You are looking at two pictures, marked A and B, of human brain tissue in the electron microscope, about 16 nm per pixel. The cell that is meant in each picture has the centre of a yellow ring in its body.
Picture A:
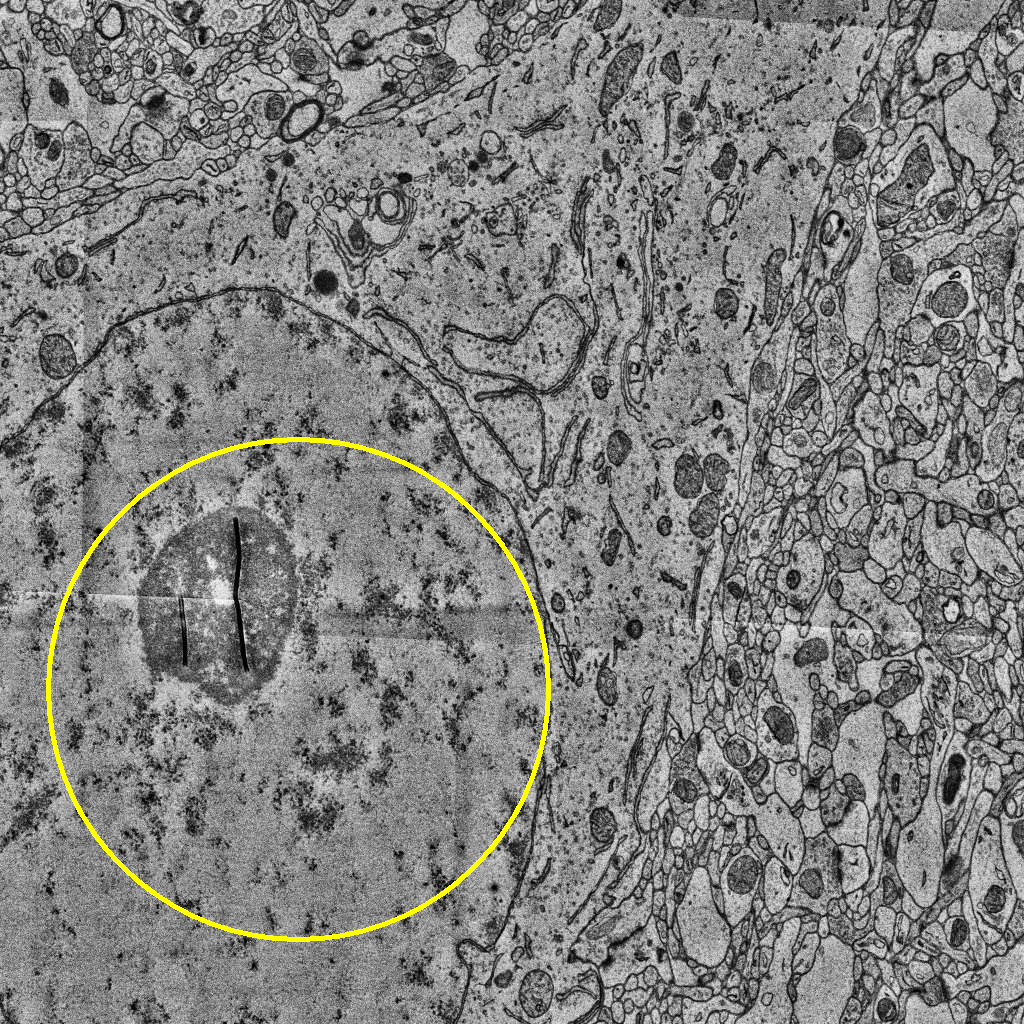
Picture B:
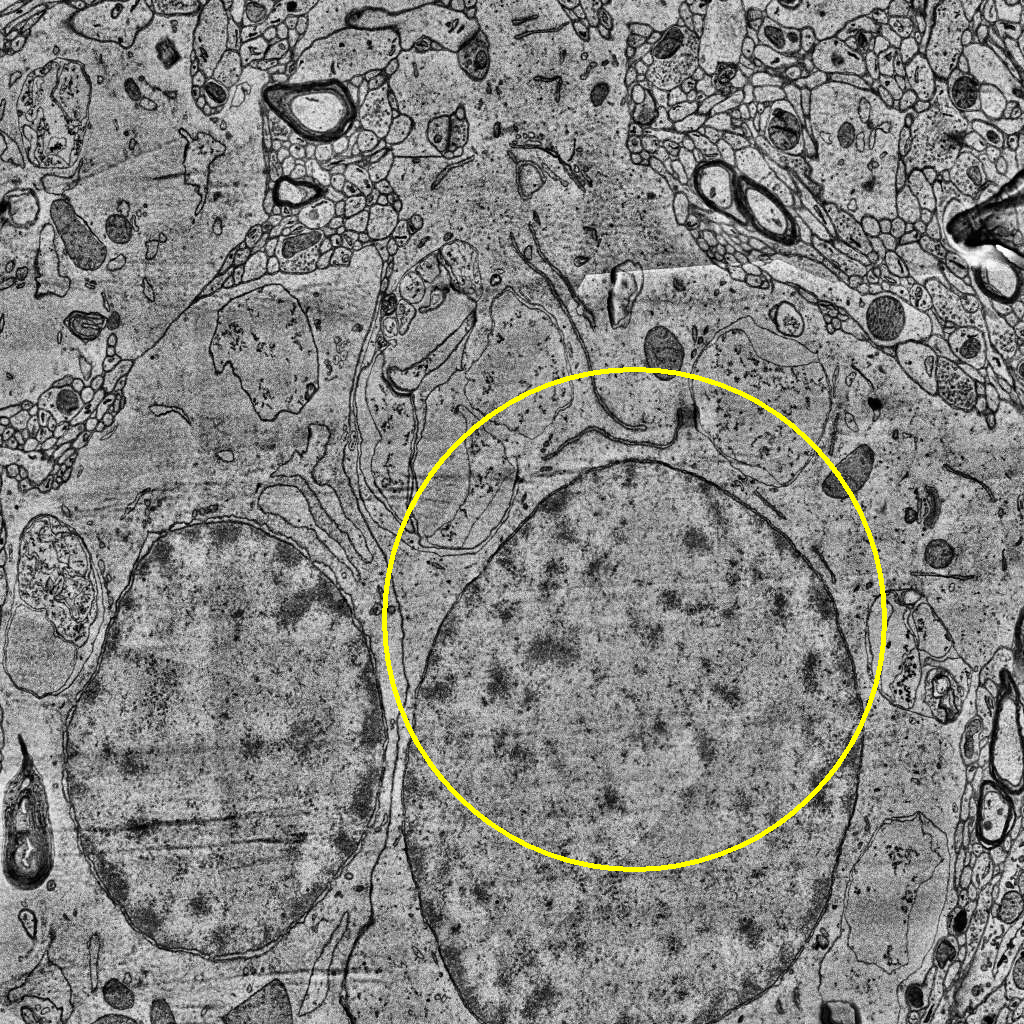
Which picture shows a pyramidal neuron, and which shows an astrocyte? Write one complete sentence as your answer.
In picture A the cell is a pyramidal neuron; in picture B, an astrocyte.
